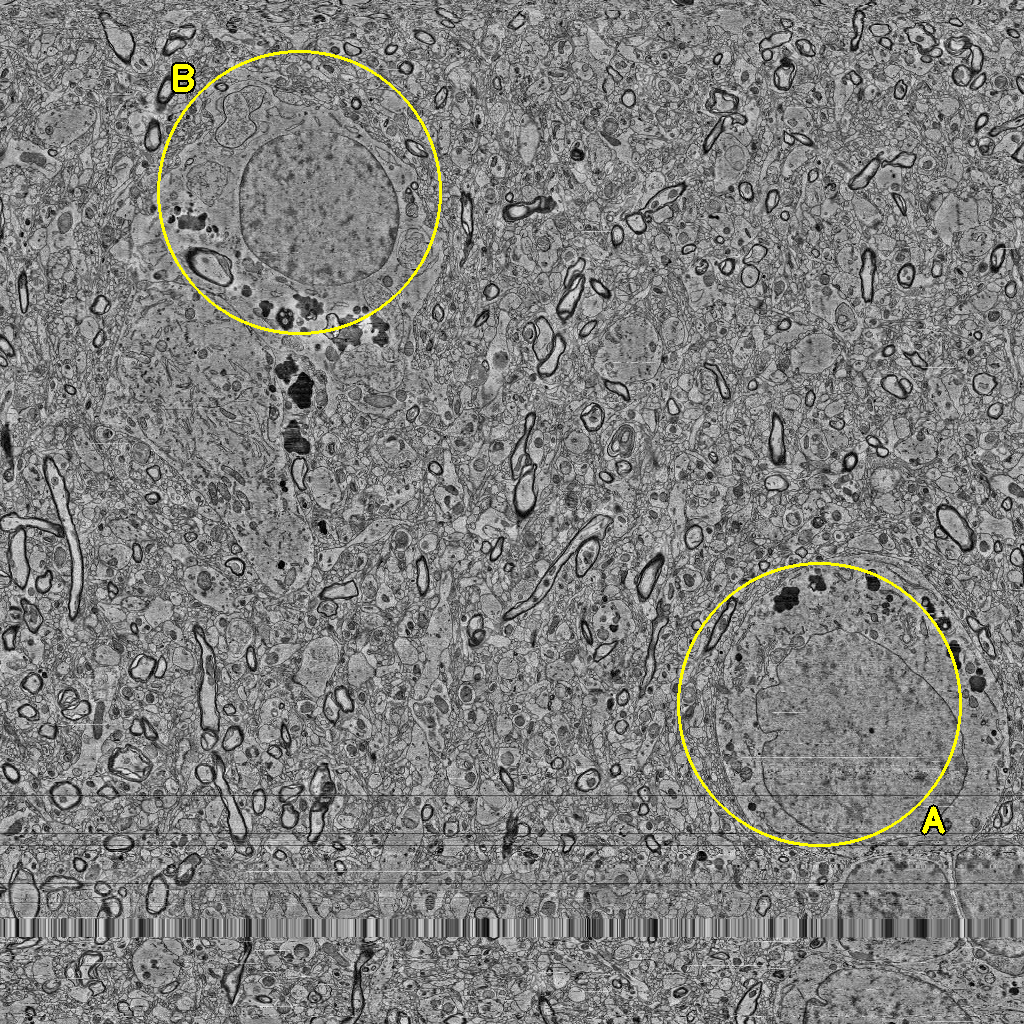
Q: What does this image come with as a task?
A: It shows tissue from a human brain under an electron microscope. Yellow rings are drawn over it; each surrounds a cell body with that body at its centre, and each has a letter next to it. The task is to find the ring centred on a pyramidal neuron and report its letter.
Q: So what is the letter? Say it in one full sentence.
It is A, the letter of the ring centred on the cell asked for in the picture.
